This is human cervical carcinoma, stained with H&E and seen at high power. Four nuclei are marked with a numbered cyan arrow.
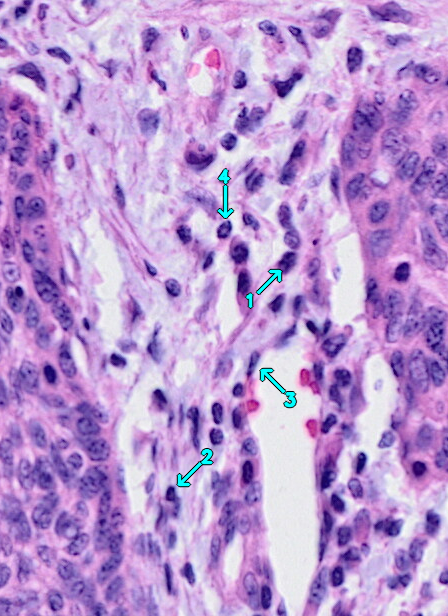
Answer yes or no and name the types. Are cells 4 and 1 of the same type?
Yes, cells 4 and 1 are both lymphocytes.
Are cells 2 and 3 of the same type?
No, not so; cell 2 is a lymphocyte and cell 3 is an endothelial cell.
